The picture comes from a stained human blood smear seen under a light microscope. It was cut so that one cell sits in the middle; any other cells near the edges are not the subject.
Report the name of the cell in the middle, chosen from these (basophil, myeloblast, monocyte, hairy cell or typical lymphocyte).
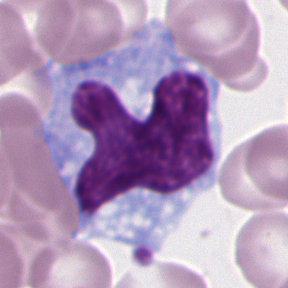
monocyte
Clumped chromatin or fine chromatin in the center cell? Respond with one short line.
The chromatin is fine throughout, without coarse clumps.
